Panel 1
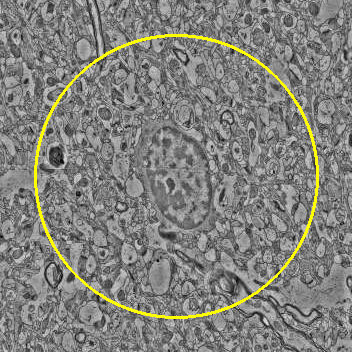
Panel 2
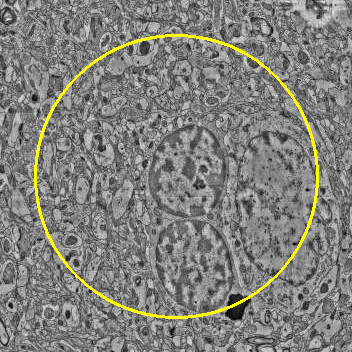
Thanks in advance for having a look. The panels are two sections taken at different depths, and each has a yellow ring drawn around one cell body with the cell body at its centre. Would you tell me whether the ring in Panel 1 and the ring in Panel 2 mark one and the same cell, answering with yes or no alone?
no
